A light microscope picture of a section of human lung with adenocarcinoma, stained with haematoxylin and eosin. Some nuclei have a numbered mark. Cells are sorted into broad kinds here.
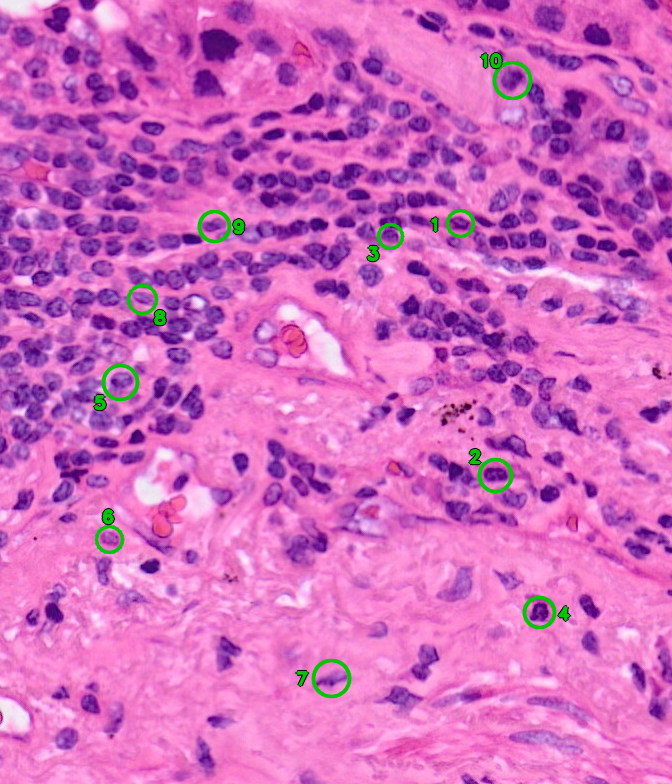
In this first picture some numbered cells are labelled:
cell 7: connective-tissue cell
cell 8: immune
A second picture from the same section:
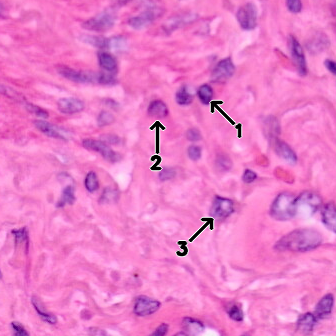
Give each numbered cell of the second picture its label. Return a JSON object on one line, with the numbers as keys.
{"1": "immune", "2": "immune", "3": "connective-tissue cell"}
